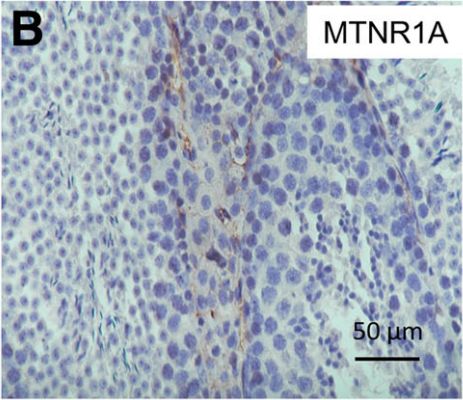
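This is testis tissue showing parts of seminiferous tubules separated by a narrow strip of interstitium containing Leydig cells. The tubules are filled with many round blue nuclei of germ cells in several layers. Brown staining also traces the boundaries along the tubule walls. The germ cells inside the tubules show only the blue counterstain.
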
